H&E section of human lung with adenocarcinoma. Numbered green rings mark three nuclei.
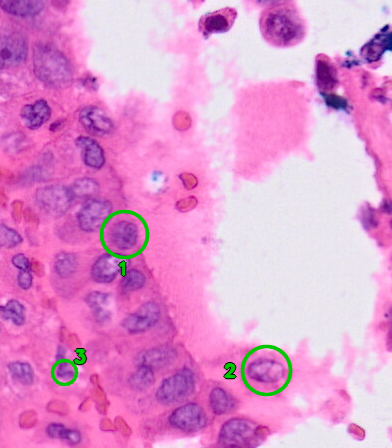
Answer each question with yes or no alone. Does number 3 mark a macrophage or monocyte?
yes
